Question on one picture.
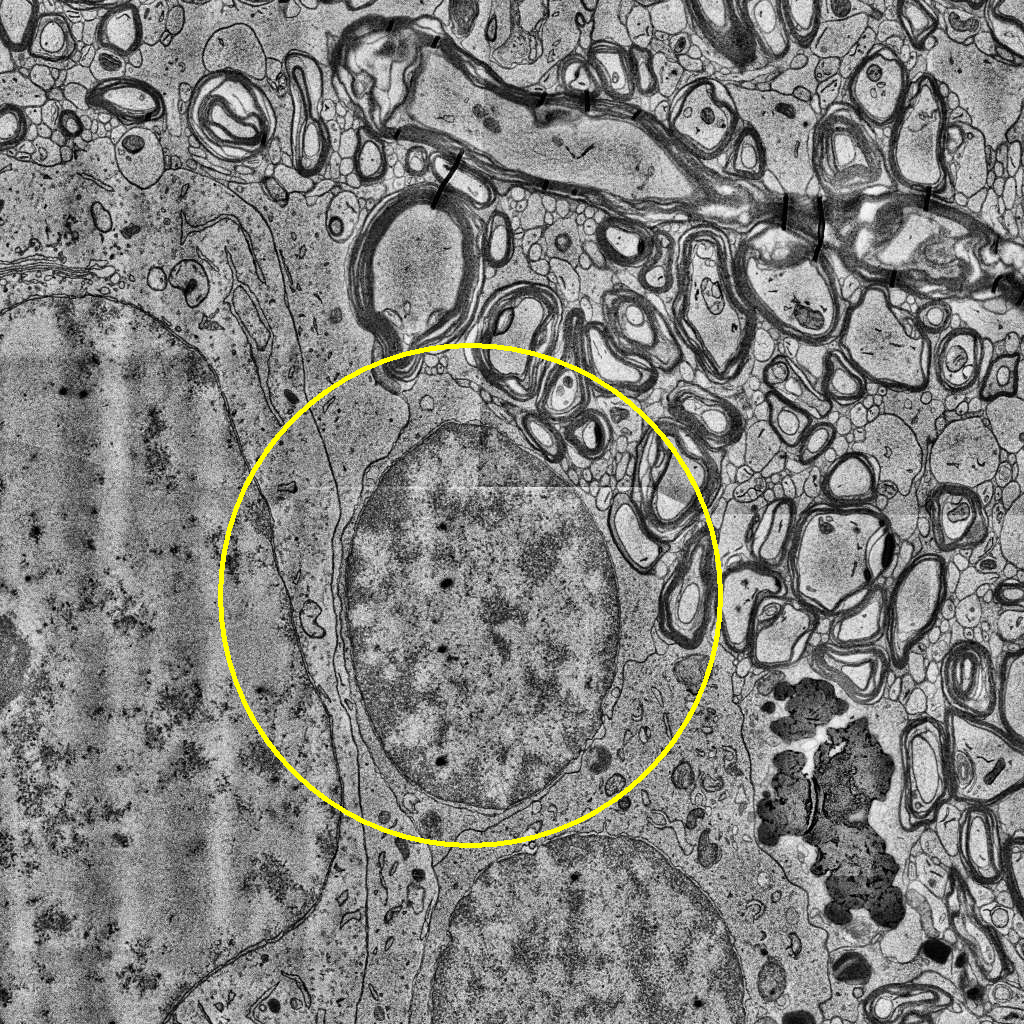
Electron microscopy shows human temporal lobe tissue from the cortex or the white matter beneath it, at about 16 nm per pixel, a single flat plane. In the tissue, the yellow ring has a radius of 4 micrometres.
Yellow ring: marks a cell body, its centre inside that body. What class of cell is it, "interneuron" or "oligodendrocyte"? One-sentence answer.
This is an oligodendrocyte, the cell at the ring's centre.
